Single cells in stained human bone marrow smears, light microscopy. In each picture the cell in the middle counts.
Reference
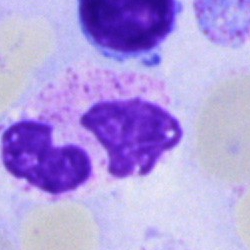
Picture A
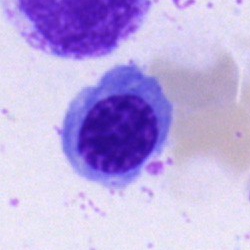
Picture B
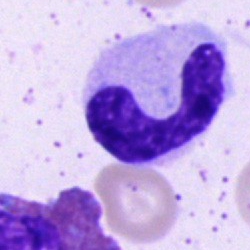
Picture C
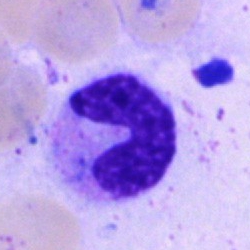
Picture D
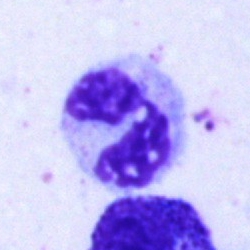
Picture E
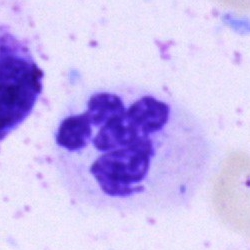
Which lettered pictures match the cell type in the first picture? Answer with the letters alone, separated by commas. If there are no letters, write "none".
D, E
